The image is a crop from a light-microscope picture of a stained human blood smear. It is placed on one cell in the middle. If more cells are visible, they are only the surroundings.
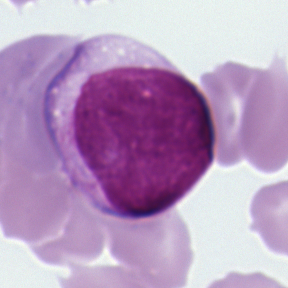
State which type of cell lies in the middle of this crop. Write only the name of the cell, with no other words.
blast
